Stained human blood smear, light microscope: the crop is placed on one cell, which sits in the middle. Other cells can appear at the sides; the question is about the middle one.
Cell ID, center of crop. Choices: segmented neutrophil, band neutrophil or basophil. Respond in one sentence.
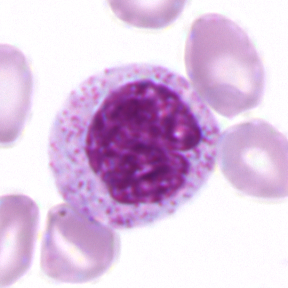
The middle cell in this particular crop is a band neutrophil.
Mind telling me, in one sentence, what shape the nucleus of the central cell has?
The cell carries one compact nucleus shaped round, oval or like a kidney.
